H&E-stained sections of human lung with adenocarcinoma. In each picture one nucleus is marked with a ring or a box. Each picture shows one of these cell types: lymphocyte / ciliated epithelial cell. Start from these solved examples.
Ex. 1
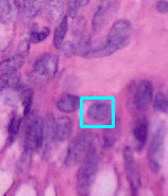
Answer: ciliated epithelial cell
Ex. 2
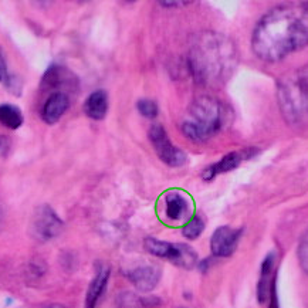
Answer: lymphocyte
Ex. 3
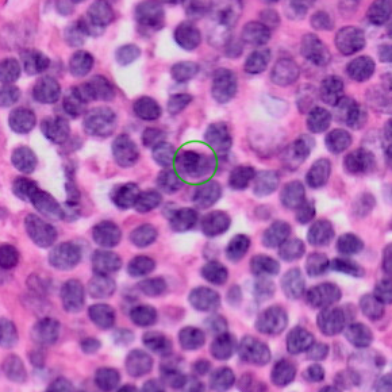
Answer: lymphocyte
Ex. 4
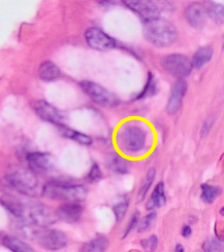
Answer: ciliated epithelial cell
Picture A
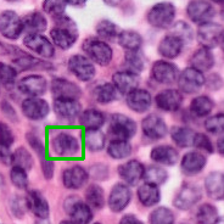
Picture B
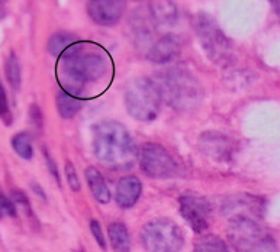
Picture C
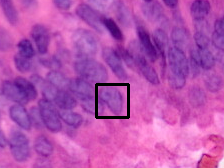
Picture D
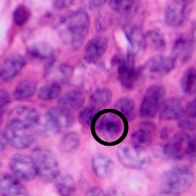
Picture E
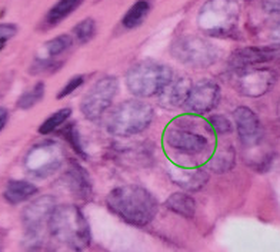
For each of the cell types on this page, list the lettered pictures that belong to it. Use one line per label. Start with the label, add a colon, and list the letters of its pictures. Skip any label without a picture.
lymphocyte: A
ciliated epithelial cell: B, C, D, E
